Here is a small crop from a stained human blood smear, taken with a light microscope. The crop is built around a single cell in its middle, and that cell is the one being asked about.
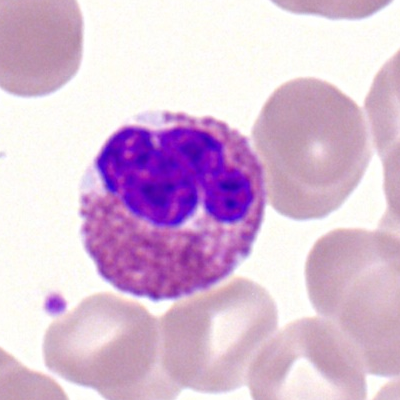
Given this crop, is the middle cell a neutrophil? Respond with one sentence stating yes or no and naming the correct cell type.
No, looking at the central cell, it is an eosinophil rather than a neutrophil.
